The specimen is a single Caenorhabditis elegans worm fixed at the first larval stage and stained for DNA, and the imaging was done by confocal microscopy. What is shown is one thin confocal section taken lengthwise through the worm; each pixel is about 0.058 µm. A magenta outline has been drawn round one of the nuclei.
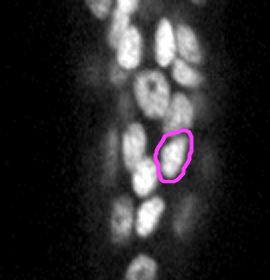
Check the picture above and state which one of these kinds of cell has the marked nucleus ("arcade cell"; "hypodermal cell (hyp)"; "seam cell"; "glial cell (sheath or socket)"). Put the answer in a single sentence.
The nucleus comes from an arcade cell.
